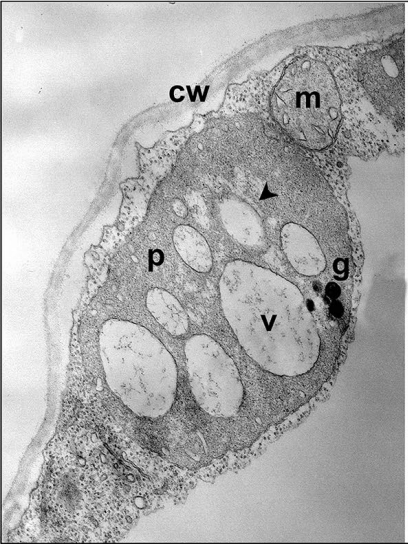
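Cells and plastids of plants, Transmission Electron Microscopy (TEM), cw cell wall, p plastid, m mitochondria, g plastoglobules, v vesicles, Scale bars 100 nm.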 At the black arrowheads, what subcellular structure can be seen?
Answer: Rudimentary thylakoids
